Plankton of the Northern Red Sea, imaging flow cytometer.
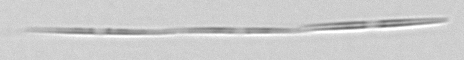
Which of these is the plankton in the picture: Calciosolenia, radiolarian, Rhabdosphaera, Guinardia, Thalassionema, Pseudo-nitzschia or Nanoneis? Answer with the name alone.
Pseudo-nitzschia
